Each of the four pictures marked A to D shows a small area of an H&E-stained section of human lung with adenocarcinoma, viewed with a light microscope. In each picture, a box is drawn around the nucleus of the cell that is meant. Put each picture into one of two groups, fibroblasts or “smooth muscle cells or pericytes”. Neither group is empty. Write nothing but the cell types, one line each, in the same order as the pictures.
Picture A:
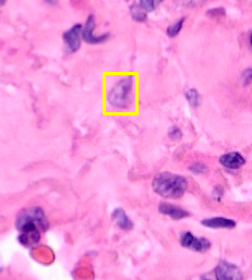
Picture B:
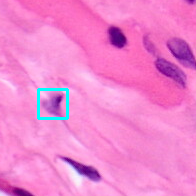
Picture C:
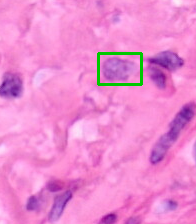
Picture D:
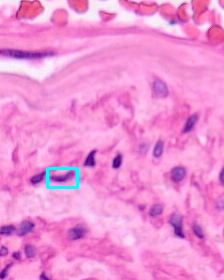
fibroblast
fibroblast
fibroblast
smooth muscle cell or pericyte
